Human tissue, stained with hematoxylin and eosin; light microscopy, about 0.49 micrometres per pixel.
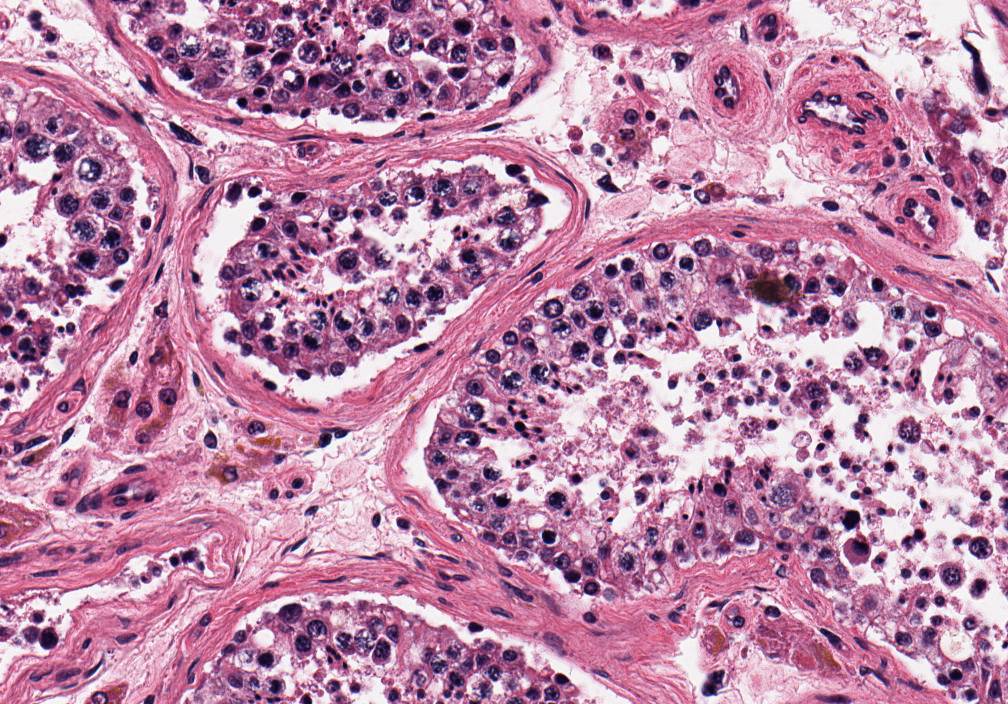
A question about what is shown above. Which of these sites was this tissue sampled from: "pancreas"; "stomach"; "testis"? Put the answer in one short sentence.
The site this tissue was sampled from is the testis.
